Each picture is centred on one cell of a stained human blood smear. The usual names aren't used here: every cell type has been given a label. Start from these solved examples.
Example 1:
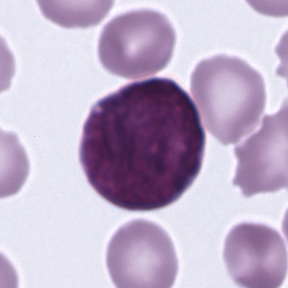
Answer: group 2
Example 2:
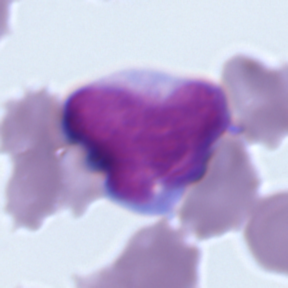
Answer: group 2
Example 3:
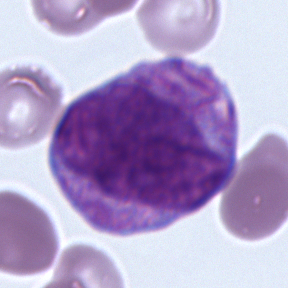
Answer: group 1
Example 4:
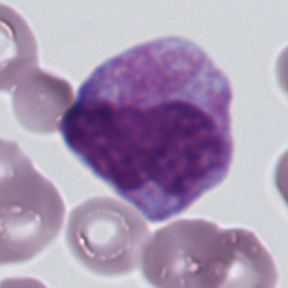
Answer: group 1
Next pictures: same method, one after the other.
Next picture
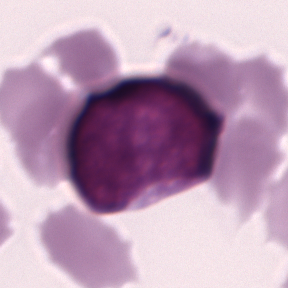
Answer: group 2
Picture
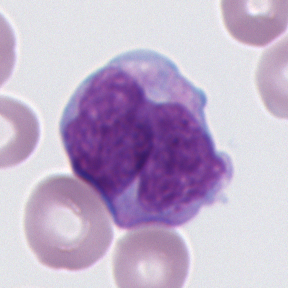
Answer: group 1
